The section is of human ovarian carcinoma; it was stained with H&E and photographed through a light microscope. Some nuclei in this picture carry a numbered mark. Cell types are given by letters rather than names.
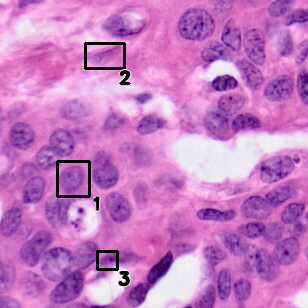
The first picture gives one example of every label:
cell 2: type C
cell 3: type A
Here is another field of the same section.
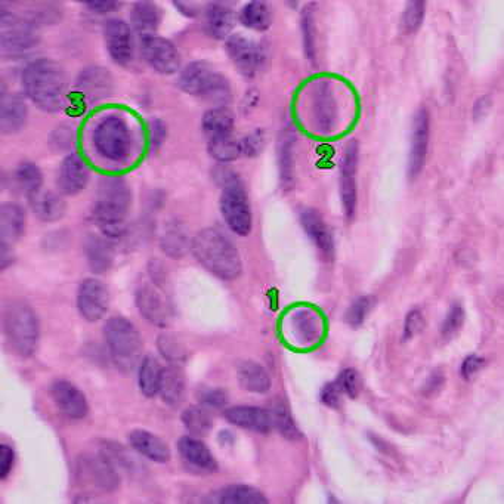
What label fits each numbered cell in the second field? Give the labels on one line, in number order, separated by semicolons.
type C; type C; type A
